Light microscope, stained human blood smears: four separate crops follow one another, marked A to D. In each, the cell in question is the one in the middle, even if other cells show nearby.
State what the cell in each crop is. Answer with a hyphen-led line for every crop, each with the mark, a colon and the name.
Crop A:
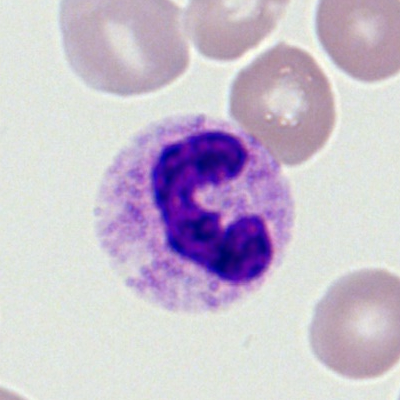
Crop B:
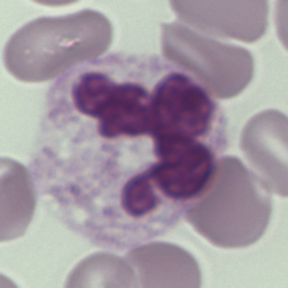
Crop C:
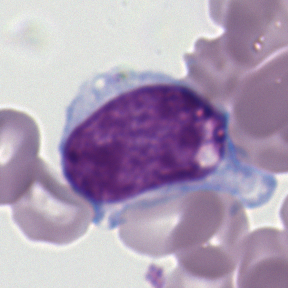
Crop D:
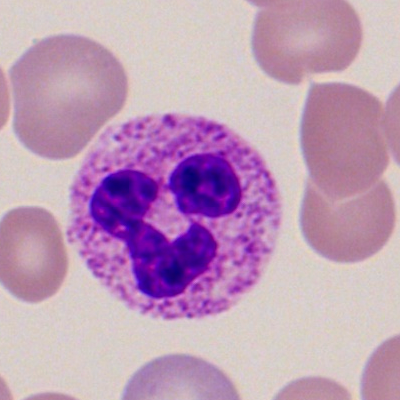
- A: band neutrophil
- B: segmented neutrophil
- C: blast
- D: segmented neutrophil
